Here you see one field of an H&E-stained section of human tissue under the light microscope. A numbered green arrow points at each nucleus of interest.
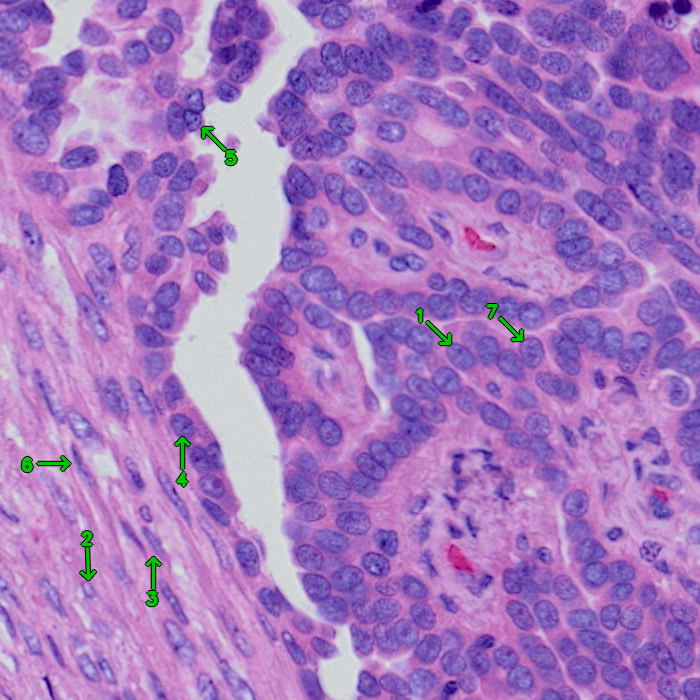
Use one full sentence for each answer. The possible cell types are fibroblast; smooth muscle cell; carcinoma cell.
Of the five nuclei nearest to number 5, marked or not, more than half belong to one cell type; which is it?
Around number 5, most of the five nearest nuclei are those of carcinoma cells.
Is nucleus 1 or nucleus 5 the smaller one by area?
Number 5 is smaller, since number 1 takes up about 2 times as much area.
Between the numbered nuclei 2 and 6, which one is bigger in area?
Nucleus 6 is the larger one, covering about 1.5 times the area of nucleus 2.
